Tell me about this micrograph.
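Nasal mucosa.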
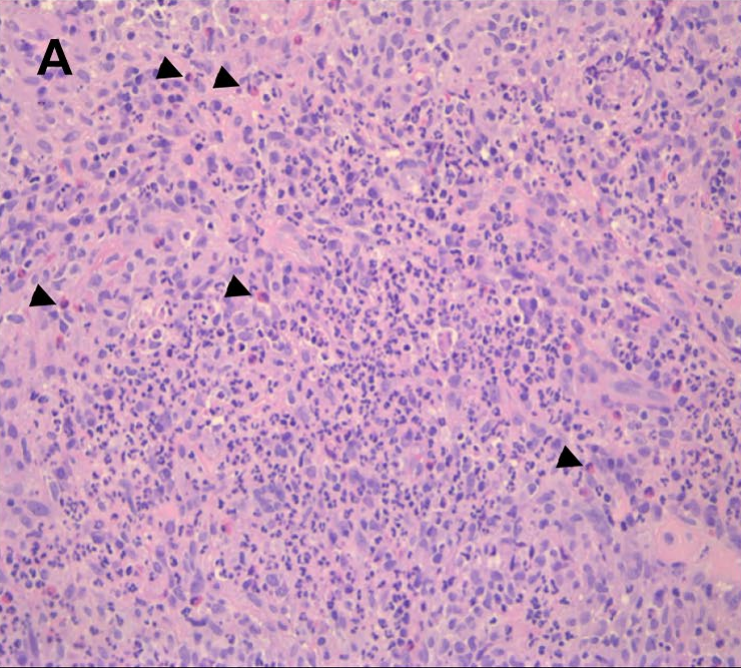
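The whole field is a crowded mixture of cells: many small, round, darkly stained nuclei with little cytoplasm lie among larger cells with paler, oval or elongated nuclei and pale pink cytoplasm, set in a faintly pink background. Here and there single cells with bright pink-red, granular cytoplasm stand out clearly against the purple; these are the eosinophils. No glands or surface lining remain in view, and the cells form no orderly layers.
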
